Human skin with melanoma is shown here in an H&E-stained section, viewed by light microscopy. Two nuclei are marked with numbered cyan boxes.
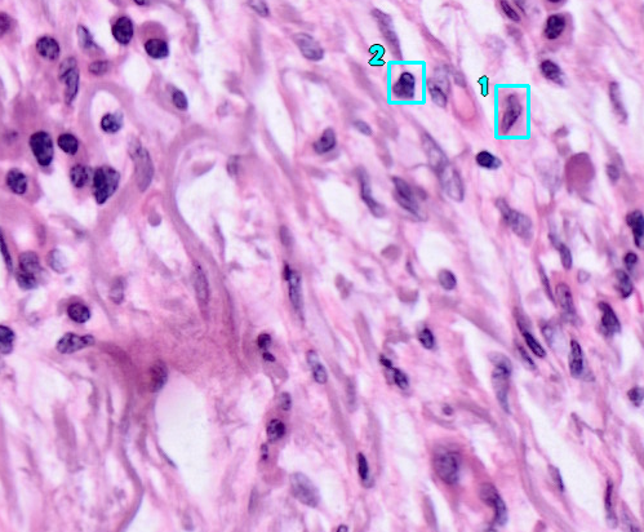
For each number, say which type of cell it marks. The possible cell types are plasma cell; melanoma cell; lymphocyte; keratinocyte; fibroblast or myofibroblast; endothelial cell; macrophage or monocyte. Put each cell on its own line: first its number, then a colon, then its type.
1: macrophage or monocyte
2: lymphocyte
